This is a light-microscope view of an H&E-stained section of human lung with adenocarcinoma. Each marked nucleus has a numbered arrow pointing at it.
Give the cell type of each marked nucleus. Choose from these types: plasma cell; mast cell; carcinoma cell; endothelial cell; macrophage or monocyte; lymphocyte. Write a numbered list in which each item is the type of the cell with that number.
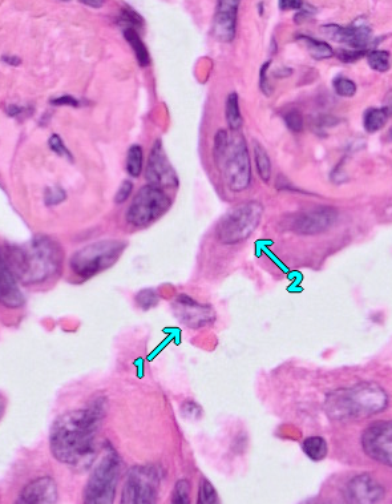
1. macrophage or monocyte
2. carcinoma cell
